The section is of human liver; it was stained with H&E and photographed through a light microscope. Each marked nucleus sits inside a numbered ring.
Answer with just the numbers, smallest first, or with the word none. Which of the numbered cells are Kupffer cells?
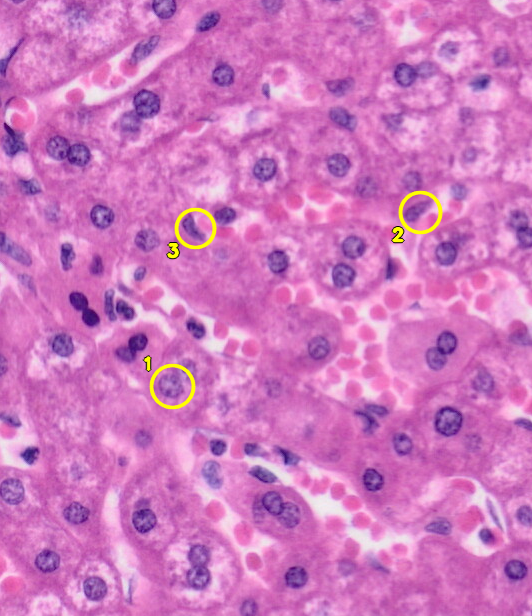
2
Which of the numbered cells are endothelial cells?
3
